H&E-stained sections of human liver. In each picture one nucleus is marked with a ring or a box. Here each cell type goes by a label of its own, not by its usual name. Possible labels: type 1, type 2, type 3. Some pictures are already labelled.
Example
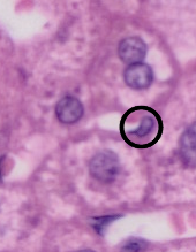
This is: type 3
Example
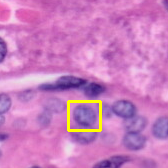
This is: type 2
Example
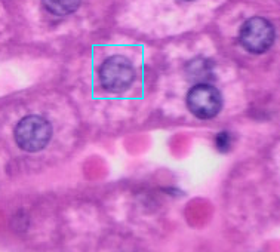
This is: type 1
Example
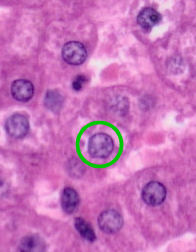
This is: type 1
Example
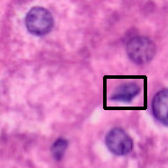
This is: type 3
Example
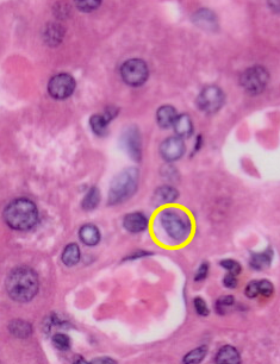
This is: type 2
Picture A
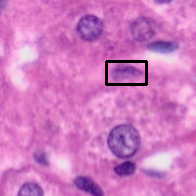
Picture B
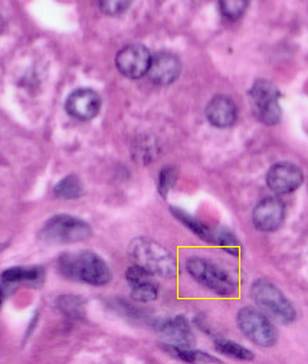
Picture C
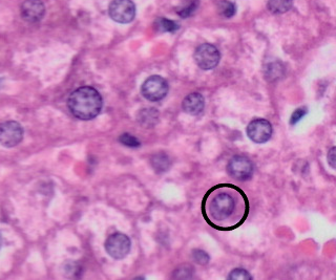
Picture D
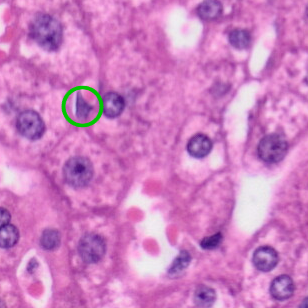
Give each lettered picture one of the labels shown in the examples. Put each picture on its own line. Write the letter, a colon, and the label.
A: type 3
B: type 2
C: type 1
D: type 3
